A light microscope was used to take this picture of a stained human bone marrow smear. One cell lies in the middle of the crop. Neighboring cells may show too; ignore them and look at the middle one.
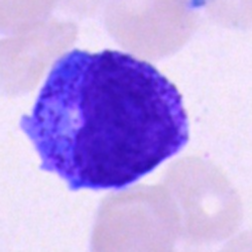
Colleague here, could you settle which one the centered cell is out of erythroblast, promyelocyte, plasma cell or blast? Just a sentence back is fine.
Of the cells in this crop, the central one is a promyelocyte.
